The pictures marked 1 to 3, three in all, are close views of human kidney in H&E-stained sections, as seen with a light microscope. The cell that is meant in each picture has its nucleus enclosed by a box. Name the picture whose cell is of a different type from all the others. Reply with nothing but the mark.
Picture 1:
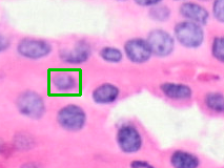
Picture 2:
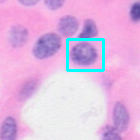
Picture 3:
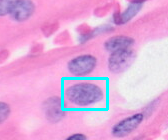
1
